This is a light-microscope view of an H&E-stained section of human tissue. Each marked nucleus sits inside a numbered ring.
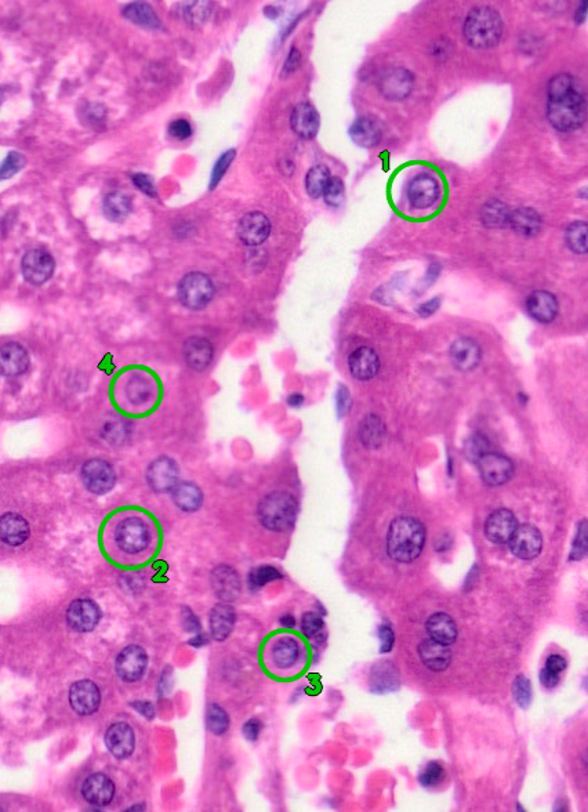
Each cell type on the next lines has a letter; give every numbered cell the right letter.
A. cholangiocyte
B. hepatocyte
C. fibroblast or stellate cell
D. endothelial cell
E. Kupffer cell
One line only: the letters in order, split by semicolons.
B; B; A; B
